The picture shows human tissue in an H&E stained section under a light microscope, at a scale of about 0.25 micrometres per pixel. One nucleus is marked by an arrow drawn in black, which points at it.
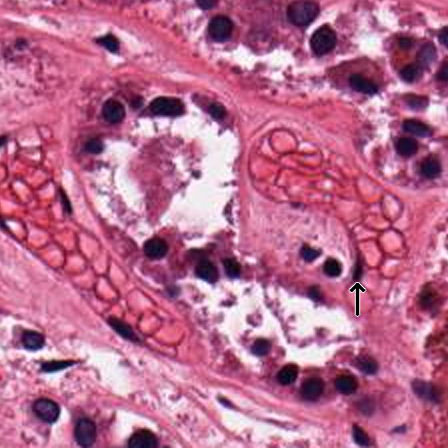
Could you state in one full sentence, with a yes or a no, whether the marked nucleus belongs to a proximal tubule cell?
No, the marked nucleus belongs to a supporting cell, and a proximal tubule cell is not its owner.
